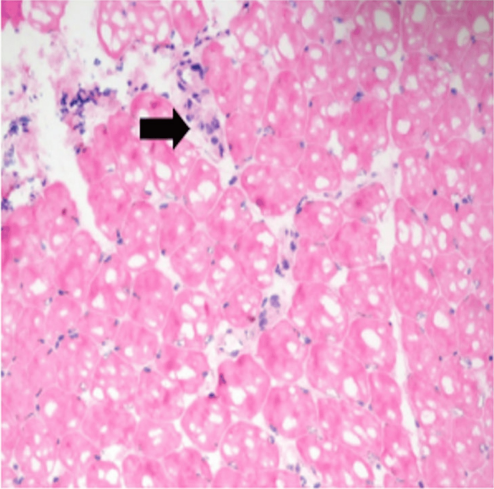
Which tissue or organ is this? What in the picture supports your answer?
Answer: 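Polygonal fibers cut in cross-section are packed side by side in bundles. The fibers stain pink, with flat nuclei at their edges.
Conclusion: skeletal muscle tissue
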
